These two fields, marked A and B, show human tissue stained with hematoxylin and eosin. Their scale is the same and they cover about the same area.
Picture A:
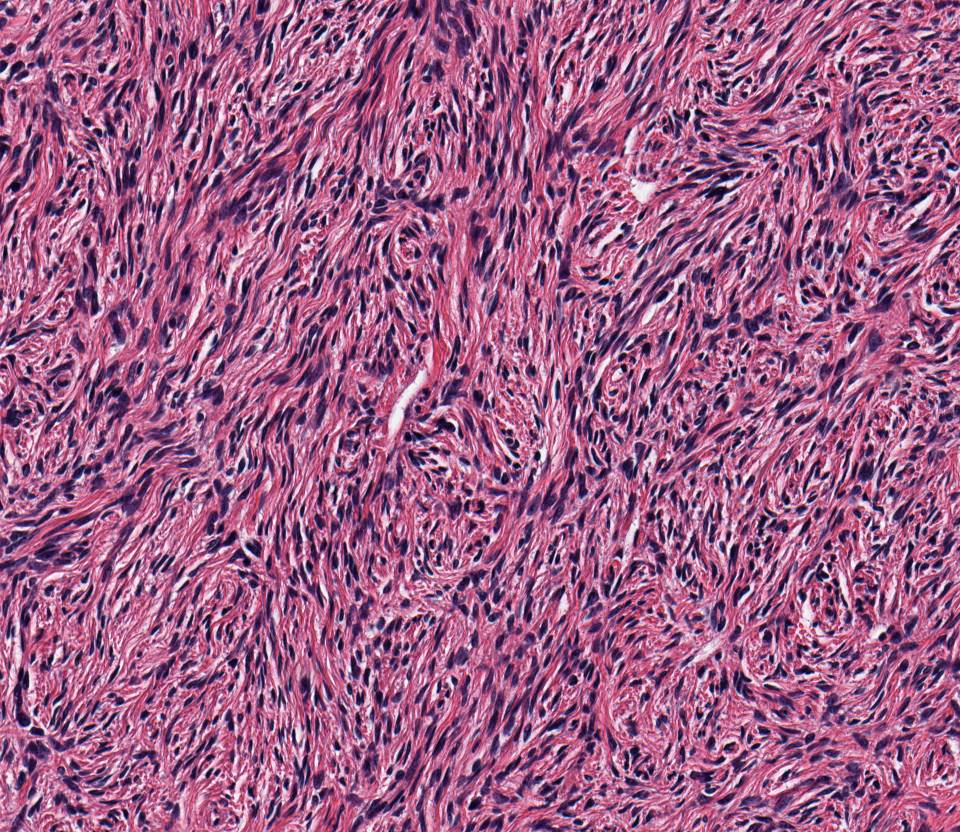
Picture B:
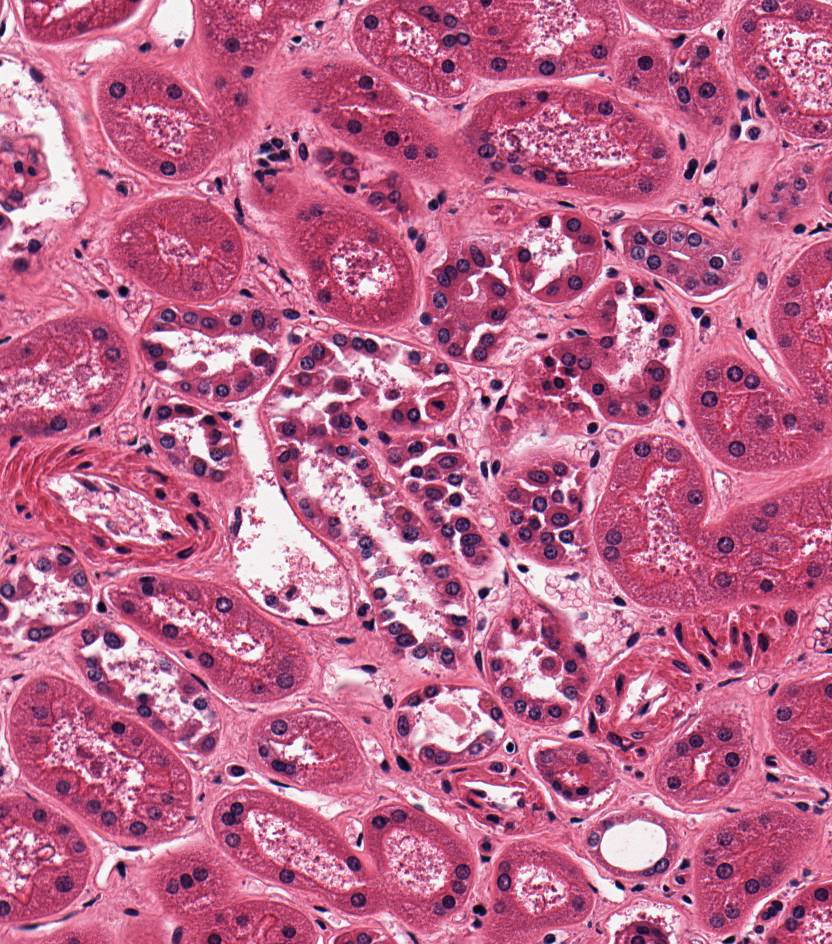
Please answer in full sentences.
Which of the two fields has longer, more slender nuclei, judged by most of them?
The nuclei are more elongated in picture A.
